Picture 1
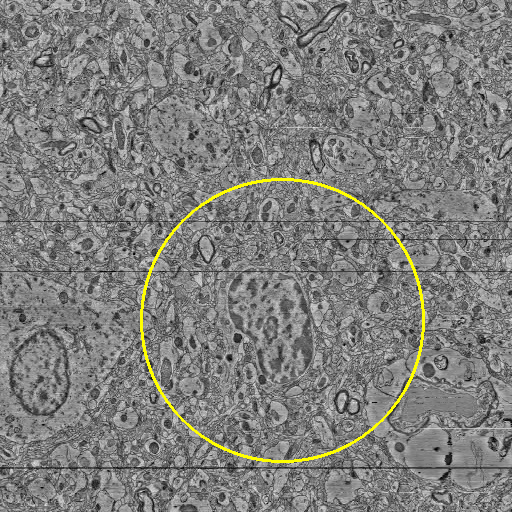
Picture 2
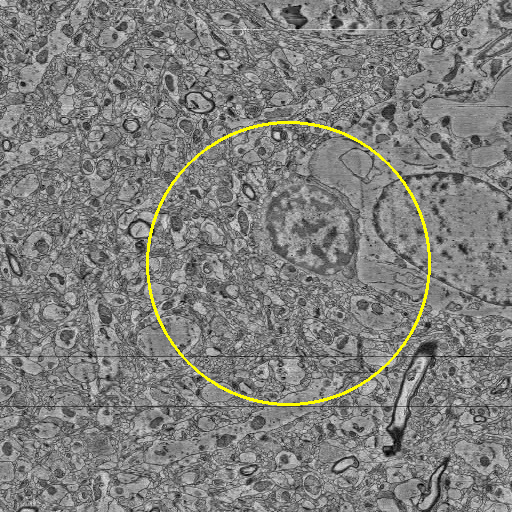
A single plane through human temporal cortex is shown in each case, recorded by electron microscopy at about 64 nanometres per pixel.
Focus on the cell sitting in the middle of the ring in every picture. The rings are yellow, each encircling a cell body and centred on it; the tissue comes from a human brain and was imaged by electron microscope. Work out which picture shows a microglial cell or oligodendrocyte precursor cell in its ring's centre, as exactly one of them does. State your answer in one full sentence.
In picture 1, the ring is centred on the cell in question.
